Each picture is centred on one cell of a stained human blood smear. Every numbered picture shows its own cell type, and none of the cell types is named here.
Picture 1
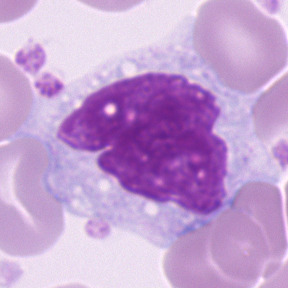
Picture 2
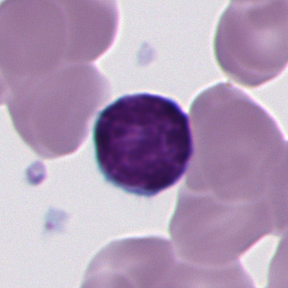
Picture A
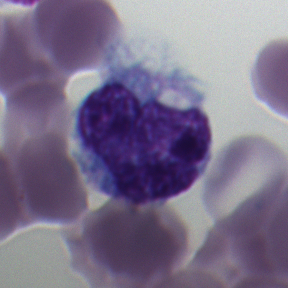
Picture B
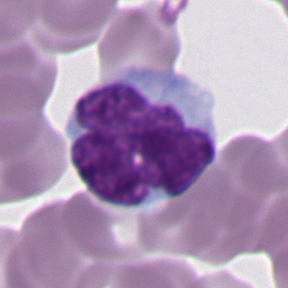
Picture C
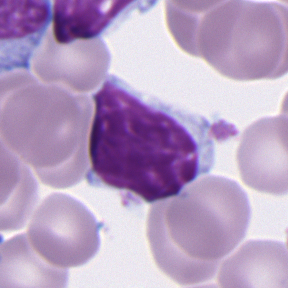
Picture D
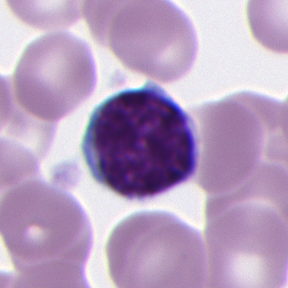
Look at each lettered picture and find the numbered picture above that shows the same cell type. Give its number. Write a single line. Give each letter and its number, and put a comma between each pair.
A 1, B 1, C 2, D 2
